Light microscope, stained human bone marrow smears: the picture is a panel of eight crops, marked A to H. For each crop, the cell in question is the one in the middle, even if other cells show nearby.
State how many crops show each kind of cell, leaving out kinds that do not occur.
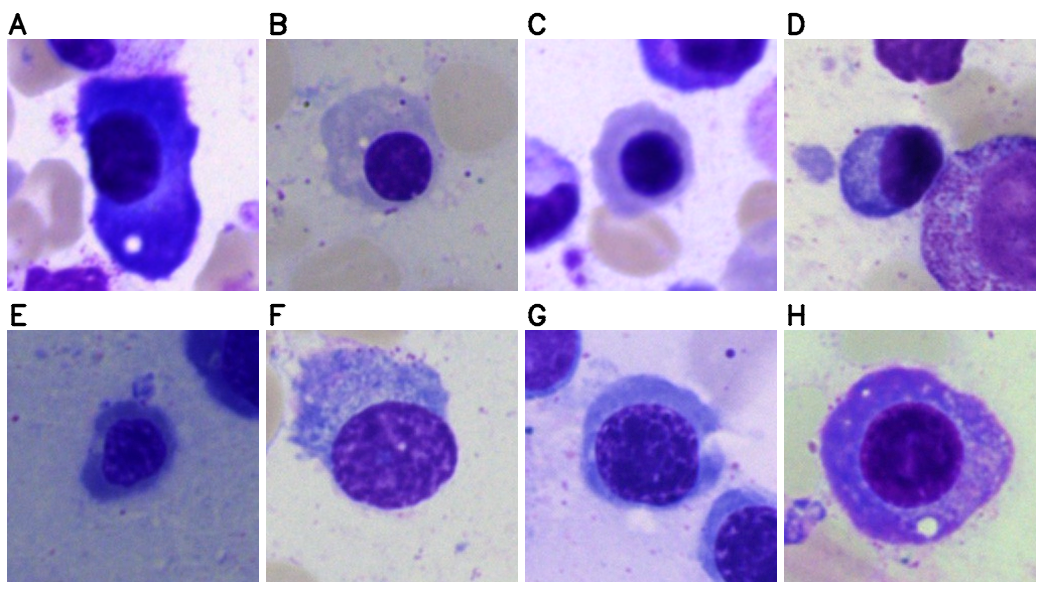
plasma cell: 4
erythroblast: 4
